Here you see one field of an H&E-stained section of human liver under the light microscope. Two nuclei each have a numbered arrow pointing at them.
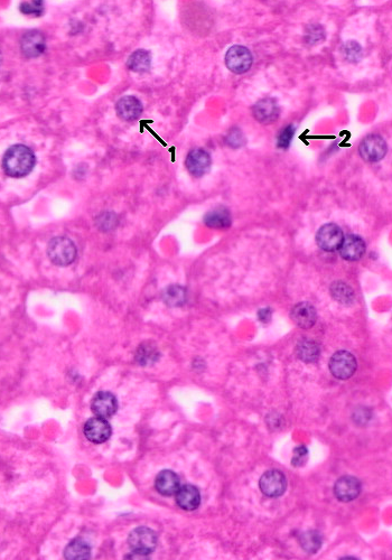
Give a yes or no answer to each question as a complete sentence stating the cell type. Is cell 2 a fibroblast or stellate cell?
Yes, the cell that the number 2 labels is a fibroblast or stellate cell.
